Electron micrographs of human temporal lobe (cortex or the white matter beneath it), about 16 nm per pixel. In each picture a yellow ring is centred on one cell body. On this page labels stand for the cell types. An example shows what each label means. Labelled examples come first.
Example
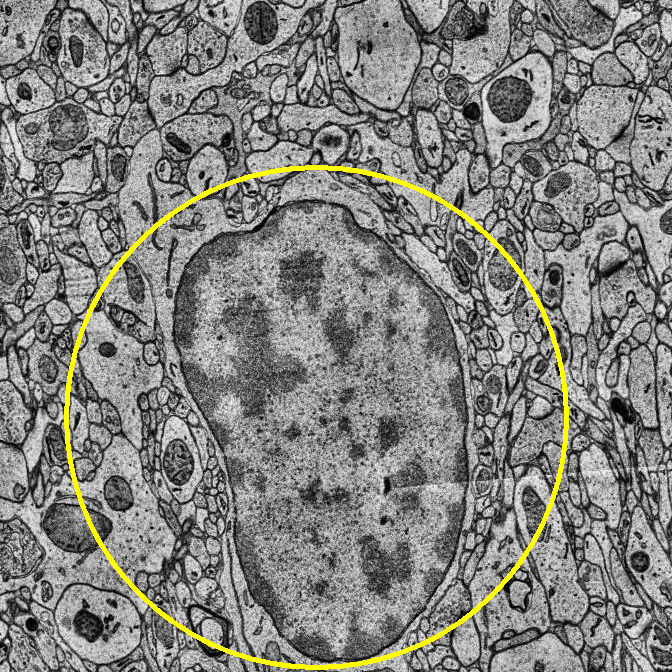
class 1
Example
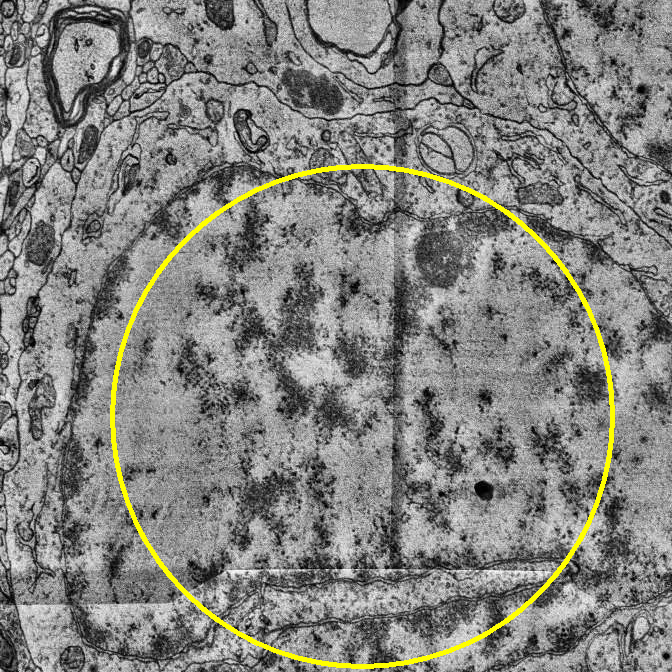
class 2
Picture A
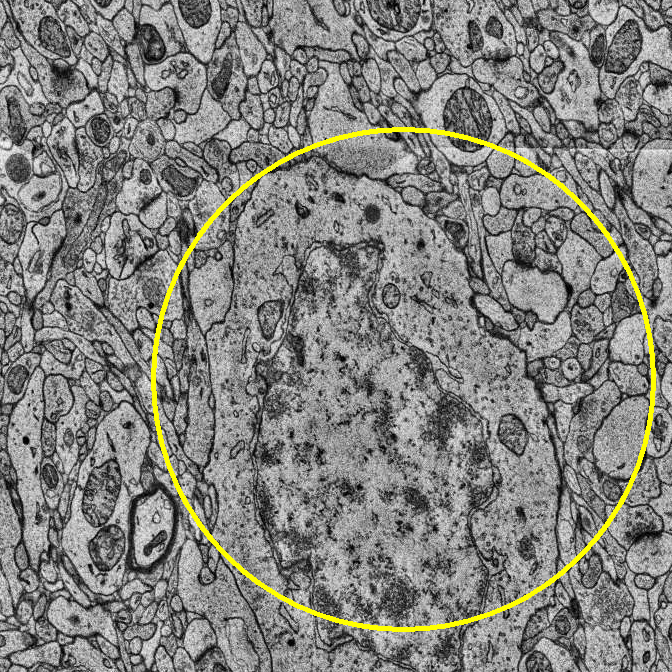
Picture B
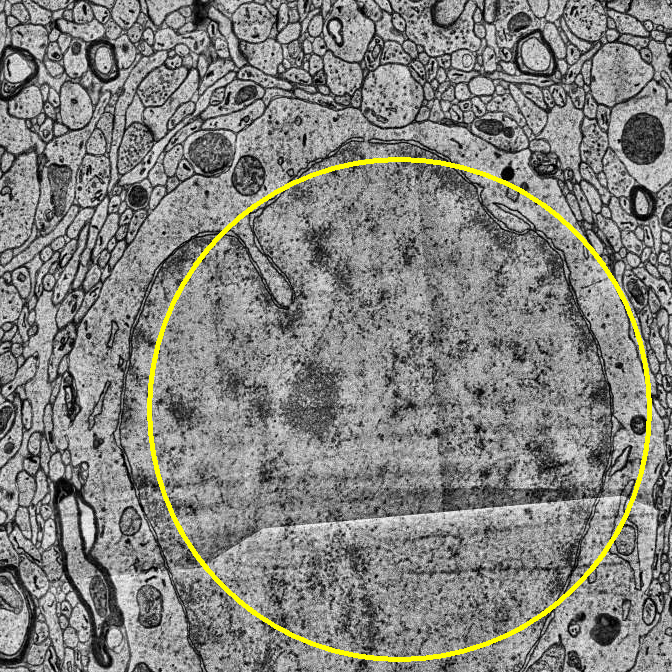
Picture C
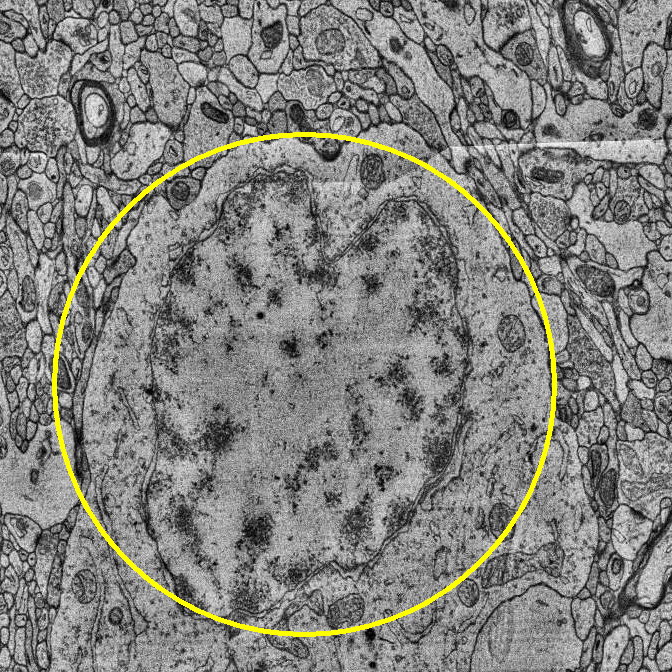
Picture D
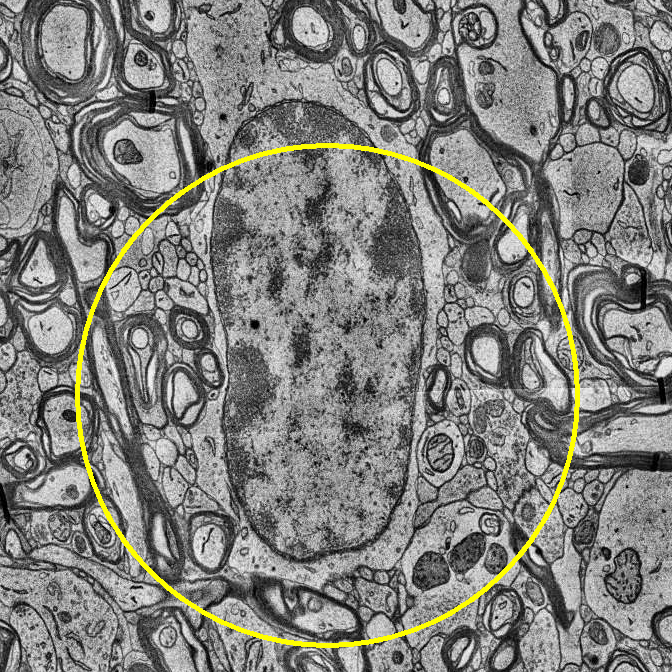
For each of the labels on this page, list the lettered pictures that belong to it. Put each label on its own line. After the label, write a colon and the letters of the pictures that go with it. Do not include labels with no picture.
class 1: D
class 2: A, B, C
